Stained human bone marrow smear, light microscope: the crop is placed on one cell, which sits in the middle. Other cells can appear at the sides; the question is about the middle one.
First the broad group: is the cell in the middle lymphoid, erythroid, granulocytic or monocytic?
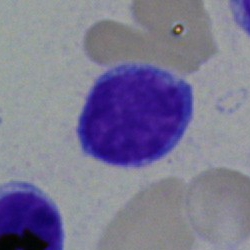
lymphoid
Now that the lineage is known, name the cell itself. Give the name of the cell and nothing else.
lymphocyte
